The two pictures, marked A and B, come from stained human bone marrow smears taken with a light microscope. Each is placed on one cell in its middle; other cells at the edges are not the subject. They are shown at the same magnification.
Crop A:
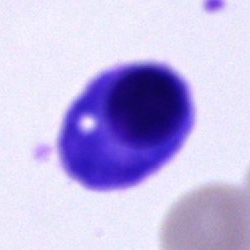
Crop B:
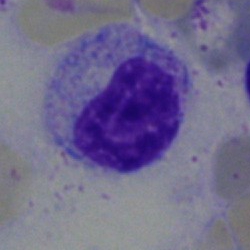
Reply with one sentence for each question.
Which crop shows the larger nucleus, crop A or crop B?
It is the nucleus in crop B, about 2 times as large in area as the one in crop A.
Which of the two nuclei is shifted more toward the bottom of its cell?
Seen within its cell, the nucleus in crop B lies further toward the bottom.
